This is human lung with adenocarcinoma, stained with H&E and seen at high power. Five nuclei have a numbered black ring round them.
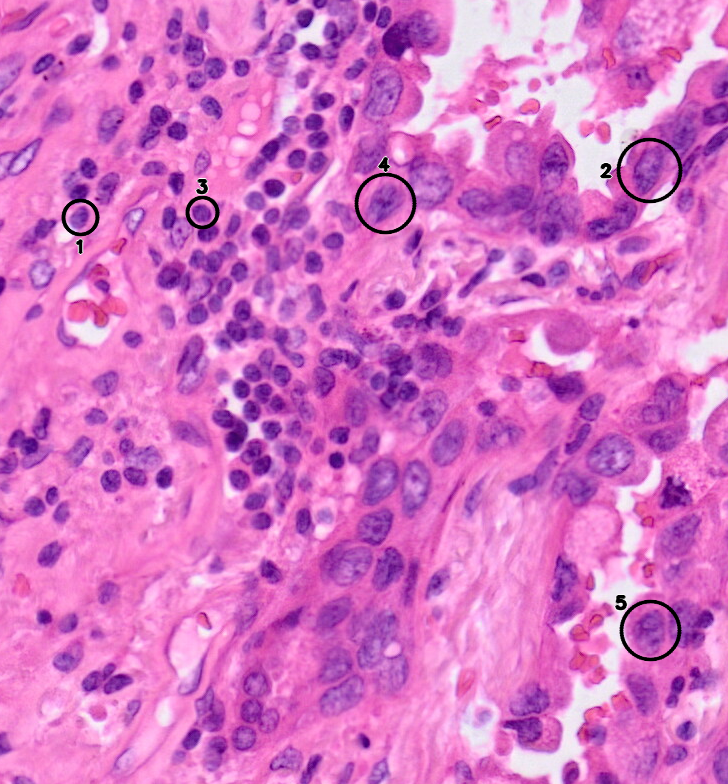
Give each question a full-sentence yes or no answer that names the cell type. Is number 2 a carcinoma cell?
Yes, number 2 corresponds to a carcinoma cell.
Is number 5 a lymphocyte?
No, cell 5 is a carcinoma cell and should not be called a lymphocyte.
